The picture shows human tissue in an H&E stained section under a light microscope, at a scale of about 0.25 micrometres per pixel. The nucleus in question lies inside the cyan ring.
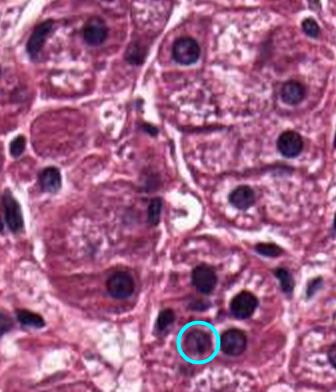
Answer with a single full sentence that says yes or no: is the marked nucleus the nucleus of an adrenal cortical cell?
Yes, the marked nucleus is located in an adrenal cortical cell.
